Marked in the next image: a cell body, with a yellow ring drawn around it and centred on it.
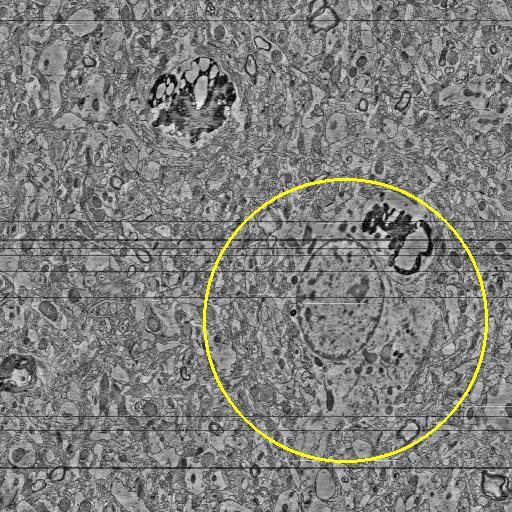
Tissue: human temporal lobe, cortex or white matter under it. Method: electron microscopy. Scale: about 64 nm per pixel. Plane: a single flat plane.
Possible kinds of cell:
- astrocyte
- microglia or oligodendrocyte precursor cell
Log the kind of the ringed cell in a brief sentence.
The ringed cell body is that of an astrocyte.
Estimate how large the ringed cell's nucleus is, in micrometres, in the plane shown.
In this plane, approximately 8 by 6 micrometers.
